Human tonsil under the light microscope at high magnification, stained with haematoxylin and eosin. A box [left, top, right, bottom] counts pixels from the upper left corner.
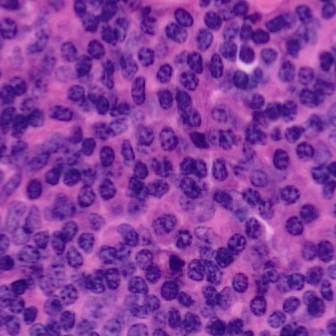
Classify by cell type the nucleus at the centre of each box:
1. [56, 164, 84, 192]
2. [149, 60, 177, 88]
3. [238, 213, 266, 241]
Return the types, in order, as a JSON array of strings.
["small lymphocyte", "plasma cell", "plasma cell"]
